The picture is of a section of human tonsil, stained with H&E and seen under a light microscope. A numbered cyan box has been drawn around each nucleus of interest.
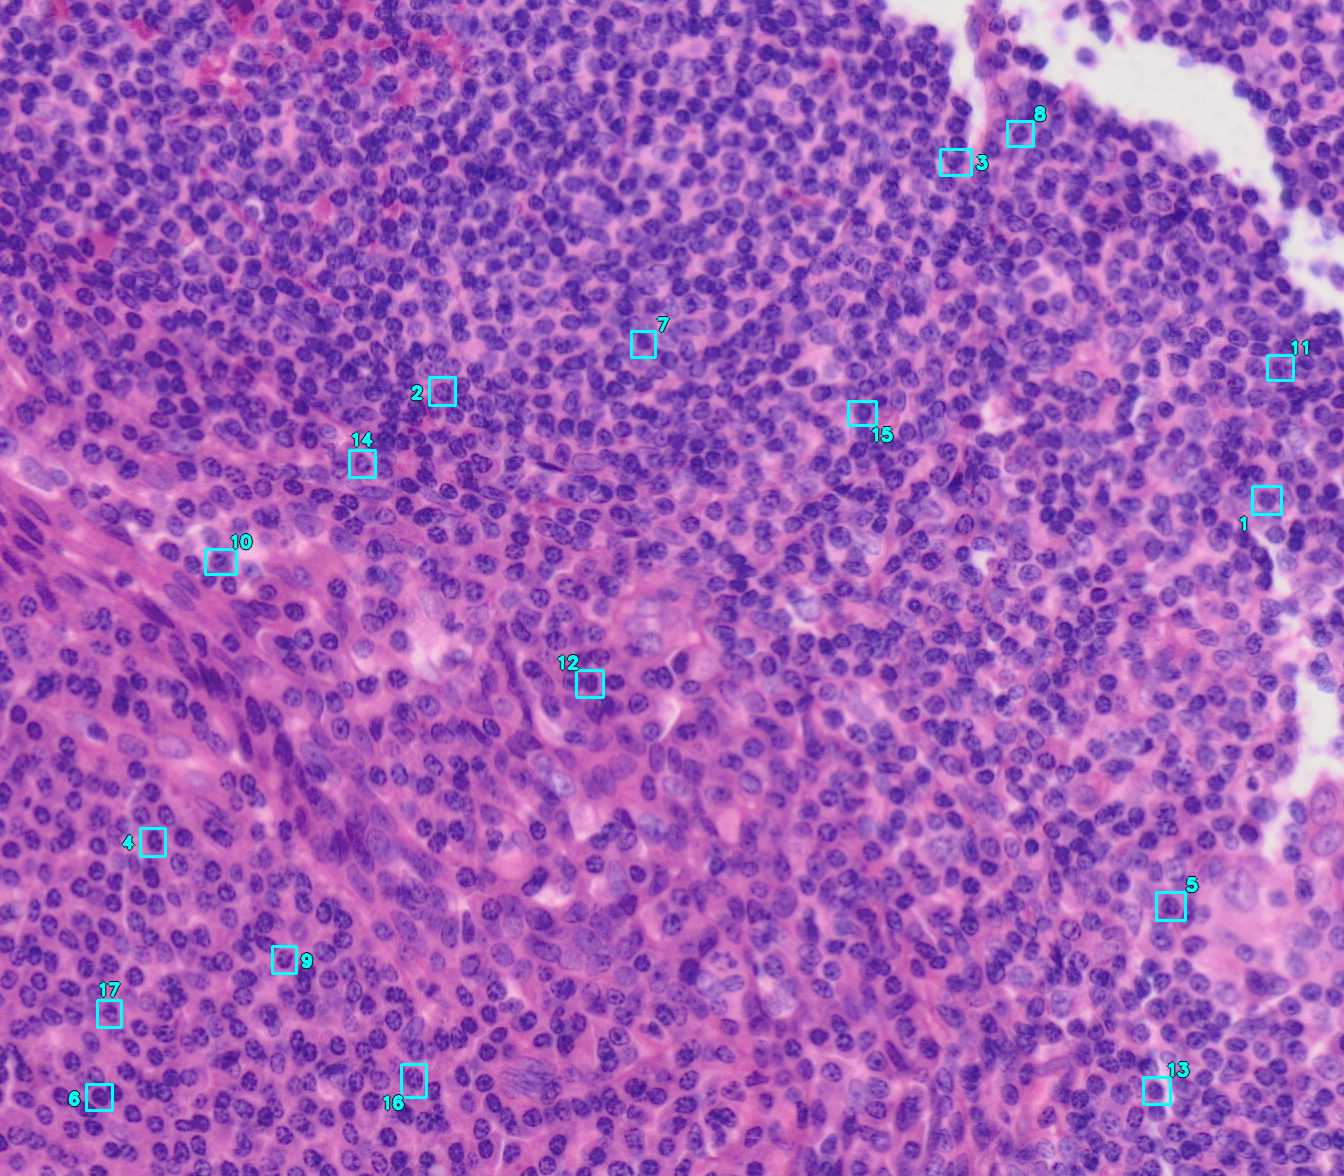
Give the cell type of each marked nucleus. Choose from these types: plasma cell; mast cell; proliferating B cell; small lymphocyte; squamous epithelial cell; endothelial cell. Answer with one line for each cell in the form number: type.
1: small lymphocyte
2: small lymphocyte
3: small lymphocyte
4: plasma cell
5: plasma cell
6: plasma cell
7: small lymphocyte
8: small lymphocyte
9: plasma cell
10: plasma cell
11: small lymphocyte
12: plasma cell
13: small lymphocyte
14: plasma cell
15: small lymphocyte
16: plasma cell
17: plasma cell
